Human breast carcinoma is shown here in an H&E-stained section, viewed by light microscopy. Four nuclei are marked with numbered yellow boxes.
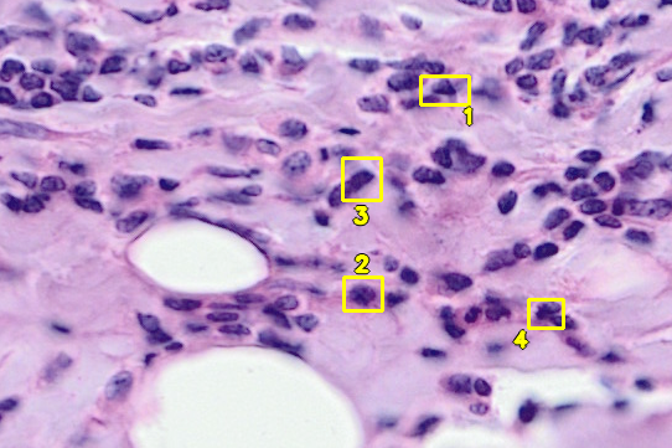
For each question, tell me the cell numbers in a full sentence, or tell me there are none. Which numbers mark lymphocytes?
The cells that bear the numbers 1, 3 and 4 are lymphocytes.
